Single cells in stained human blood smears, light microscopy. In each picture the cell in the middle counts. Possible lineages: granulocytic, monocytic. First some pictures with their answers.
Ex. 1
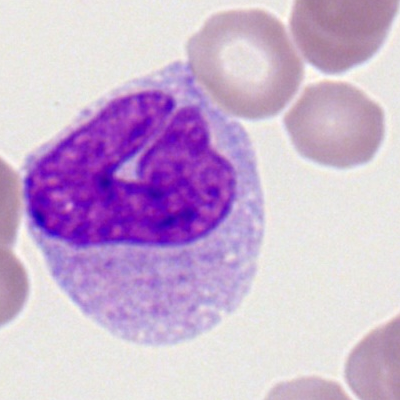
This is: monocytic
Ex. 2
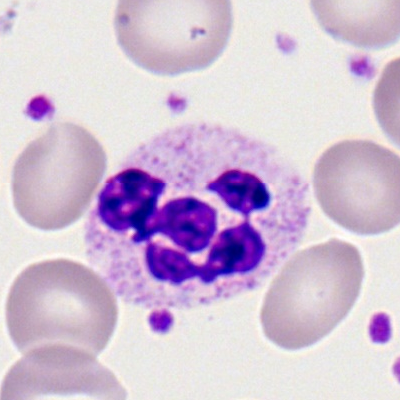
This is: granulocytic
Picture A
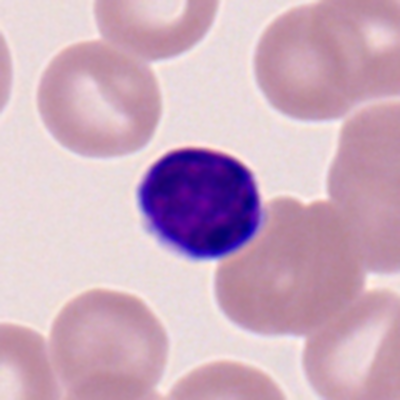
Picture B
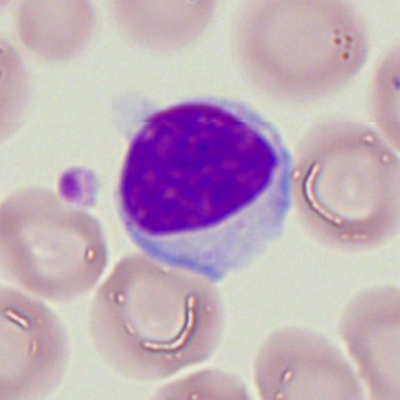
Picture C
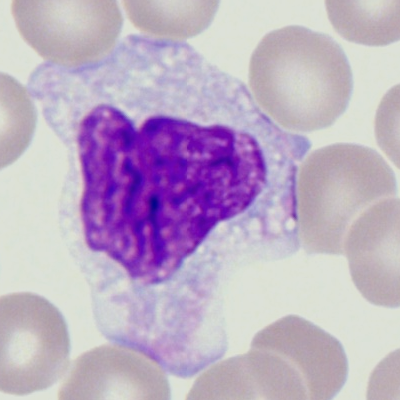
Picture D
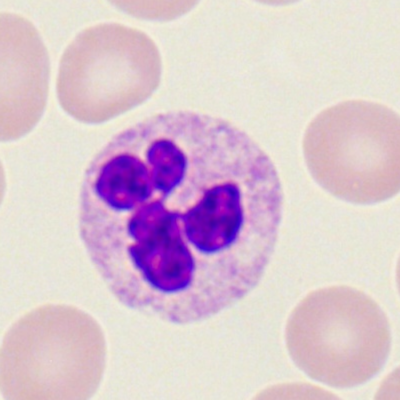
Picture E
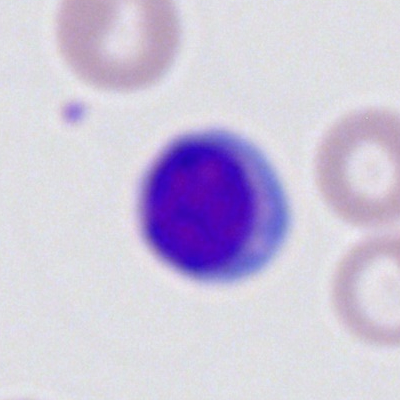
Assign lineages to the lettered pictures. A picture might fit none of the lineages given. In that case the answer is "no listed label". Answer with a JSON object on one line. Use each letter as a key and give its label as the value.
{"A": "no listed label", "B": "no listed label", "C": "monocytic", "D": "granulocytic", "E": "no listed label"}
